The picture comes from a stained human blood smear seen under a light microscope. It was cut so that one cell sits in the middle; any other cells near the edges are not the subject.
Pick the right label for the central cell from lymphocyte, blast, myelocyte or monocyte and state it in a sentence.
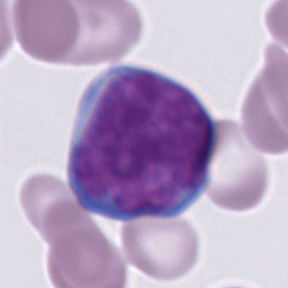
Here the cell in the middle is a blast.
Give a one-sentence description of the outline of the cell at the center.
Smooth all around, the outline has no projections to report.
